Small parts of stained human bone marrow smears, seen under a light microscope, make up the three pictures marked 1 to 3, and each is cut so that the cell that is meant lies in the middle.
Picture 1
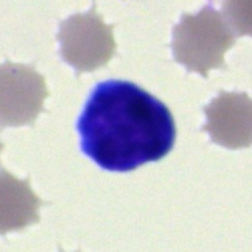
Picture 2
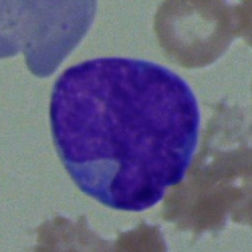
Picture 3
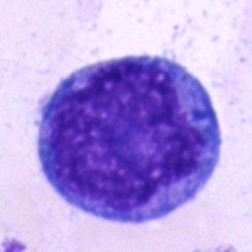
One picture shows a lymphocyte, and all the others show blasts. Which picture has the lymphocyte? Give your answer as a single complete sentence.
Picture 1 is the one that shows the lymphocyte.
